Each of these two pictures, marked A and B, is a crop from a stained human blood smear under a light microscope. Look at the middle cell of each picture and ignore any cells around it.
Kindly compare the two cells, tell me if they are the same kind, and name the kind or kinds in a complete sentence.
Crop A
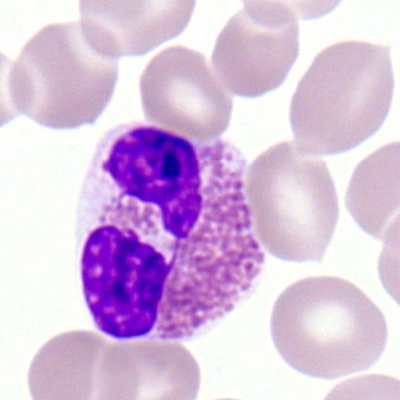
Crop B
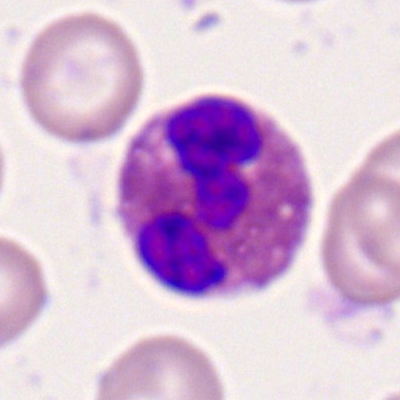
Yes, eosinophils are depicted in both crops.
